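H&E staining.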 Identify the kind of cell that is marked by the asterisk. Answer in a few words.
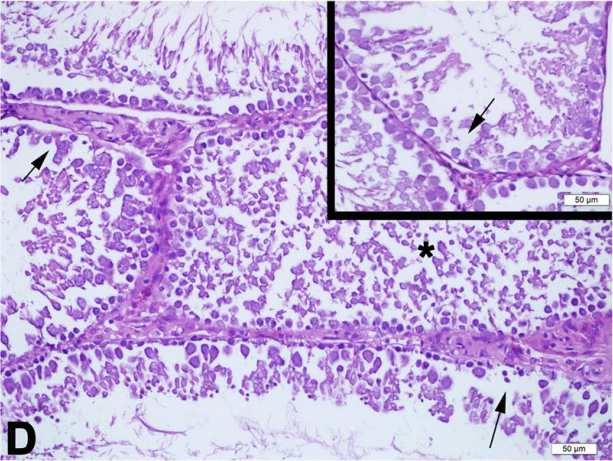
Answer: immature cells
